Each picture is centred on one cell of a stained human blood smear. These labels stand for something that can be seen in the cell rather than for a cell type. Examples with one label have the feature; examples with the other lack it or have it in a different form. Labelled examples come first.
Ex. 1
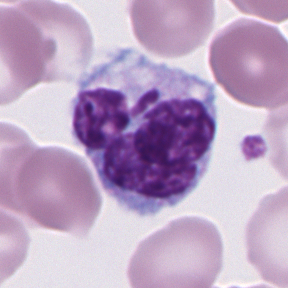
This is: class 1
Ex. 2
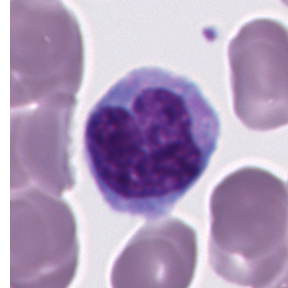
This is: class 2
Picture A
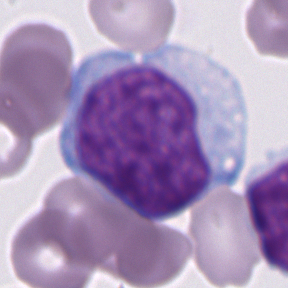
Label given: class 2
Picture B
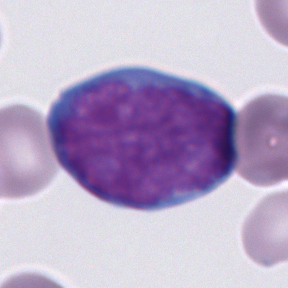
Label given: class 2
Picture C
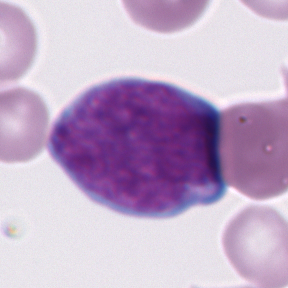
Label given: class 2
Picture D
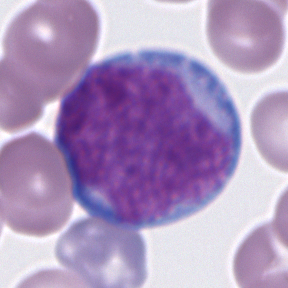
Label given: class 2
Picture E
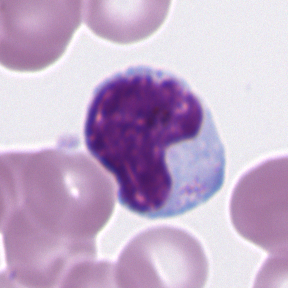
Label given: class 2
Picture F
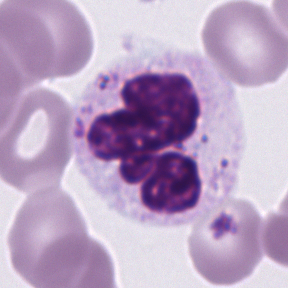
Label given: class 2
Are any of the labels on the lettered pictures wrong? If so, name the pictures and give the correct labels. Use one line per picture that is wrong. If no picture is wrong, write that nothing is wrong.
All correct.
